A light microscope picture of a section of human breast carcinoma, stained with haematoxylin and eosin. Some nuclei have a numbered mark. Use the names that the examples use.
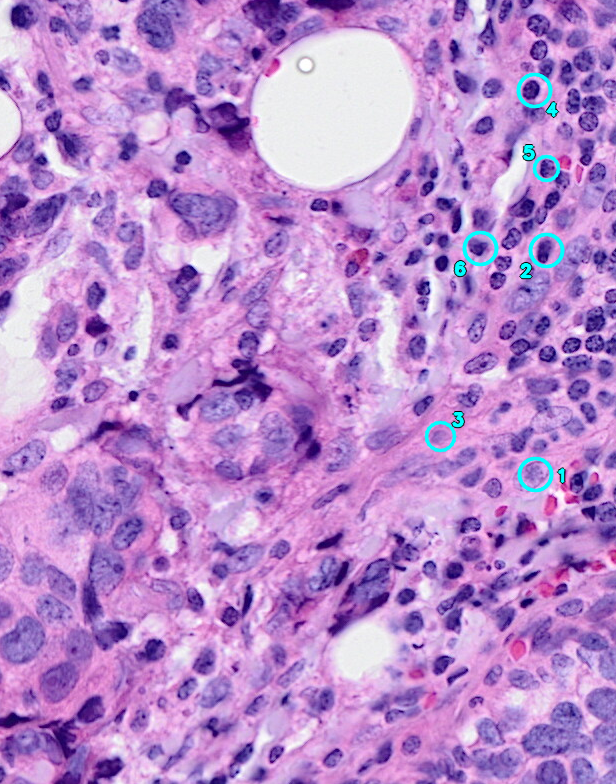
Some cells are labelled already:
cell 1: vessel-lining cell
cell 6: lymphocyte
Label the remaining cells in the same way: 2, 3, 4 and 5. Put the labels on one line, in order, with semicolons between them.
lymphocyte; vessel-lining cell; lymphocyte; lymphocyte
